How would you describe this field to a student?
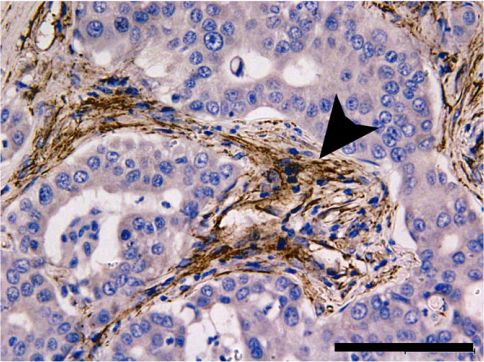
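Glandular carcinoma tissue with nests of large epithelial tumor cells separated by bands of stroma. The tumor cells have round to oval nuclei with visible nucleoli and pale bluish cytoplasm, and they line gland-like spaces with open lumina. Between the nests run strands of stroma made of spindle-shaped cells with elongated dark nuclei, and this stroma carries dense brown staining that outlines the slender cell bodies and fibres. The epithelial tumor cells are essentially unstained. The stained spindle cells in the stroma at the front of the invading carcinoma are stromal mesenchymal cells.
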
